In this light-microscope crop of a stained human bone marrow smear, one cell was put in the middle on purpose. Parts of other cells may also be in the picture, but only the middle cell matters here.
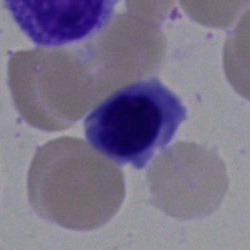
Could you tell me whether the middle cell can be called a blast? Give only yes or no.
no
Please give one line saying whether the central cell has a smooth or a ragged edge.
Around its circumference, the cell has an uneven edge, ragged or projecting in places.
